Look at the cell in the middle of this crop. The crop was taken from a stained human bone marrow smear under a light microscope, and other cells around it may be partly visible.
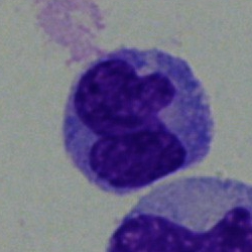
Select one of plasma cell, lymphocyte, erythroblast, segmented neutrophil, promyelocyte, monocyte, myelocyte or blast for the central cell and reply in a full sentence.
On this slide crop, the central cell is a monocyte.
